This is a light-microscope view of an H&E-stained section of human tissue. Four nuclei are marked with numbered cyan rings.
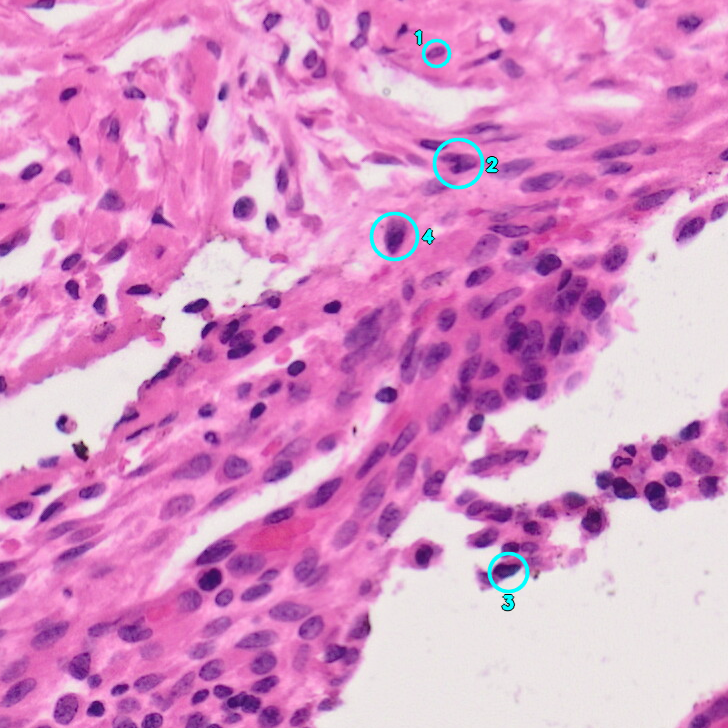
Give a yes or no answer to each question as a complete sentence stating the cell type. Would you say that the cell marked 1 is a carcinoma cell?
No, it is a fibroblast, not a carcinoma cell, that number 1 marks.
